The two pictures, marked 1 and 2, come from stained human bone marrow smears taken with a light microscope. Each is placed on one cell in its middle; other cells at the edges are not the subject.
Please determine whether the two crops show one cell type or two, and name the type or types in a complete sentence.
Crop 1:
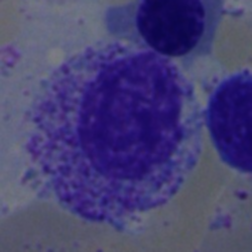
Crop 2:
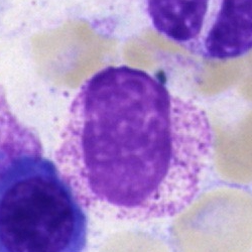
Yes, in the case of both crops, the central cells are myelocytes.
